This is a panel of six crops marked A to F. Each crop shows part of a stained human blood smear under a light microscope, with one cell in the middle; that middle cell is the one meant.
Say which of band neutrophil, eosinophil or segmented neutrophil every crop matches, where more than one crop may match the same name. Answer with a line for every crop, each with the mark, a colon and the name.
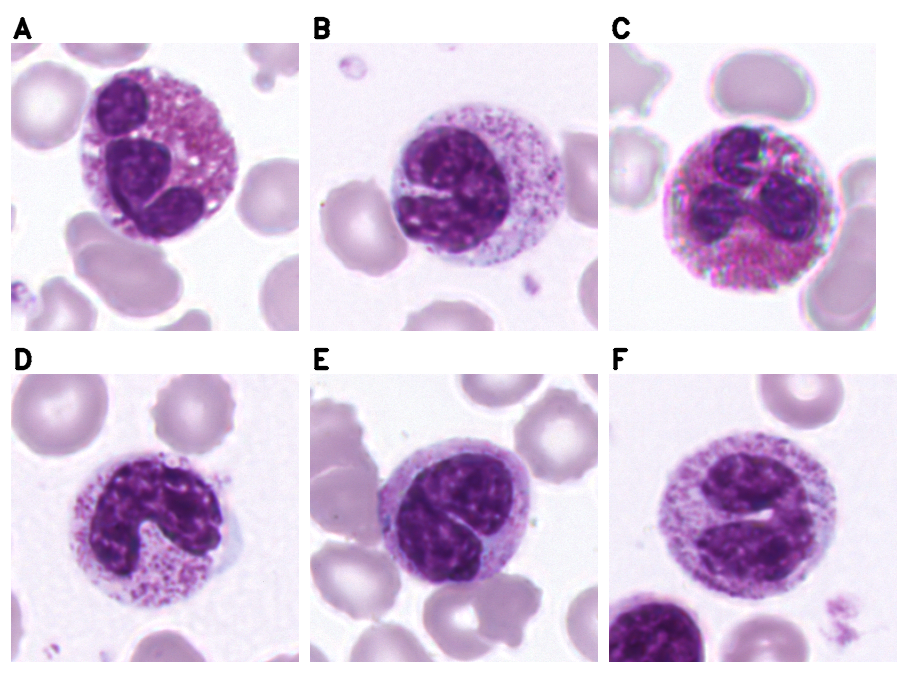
A: eosinophil
B: band neutrophil
C: eosinophil
D: band neutrophil
E: band neutrophil
F: band neutrophil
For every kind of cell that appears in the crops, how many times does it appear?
band neutrophil: 4
eosinophil: 2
